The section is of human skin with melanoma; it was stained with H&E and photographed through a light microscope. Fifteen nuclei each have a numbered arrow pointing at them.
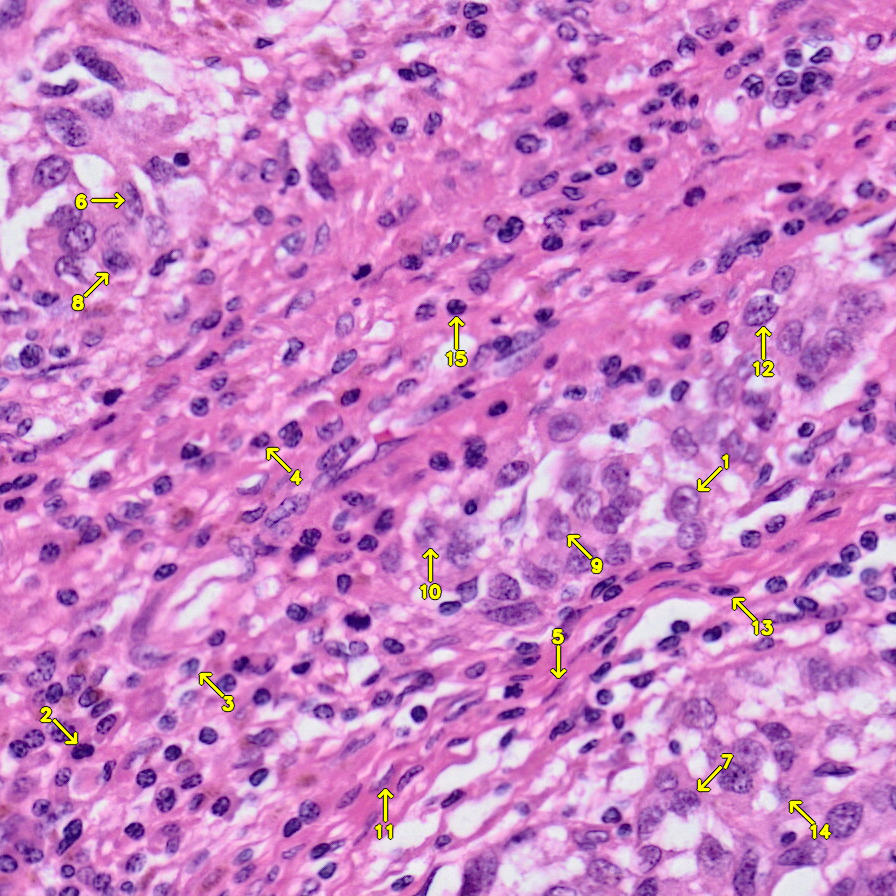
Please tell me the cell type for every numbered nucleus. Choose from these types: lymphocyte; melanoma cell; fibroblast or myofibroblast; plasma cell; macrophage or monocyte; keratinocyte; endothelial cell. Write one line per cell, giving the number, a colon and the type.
1: melanoma cell
2: plasma cell
3: lymphocyte
4: plasma cell
5: fibroblast or myofibroblast
6: melanoma cell
7: melanoma cell
8: melanoma cell
9: melanoma cell
10: melanoma cell
11: fibroblast or myofibroblast
12: melanoma cell
13: lymphocyte
14: melanoma cell
15: lymphocyte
